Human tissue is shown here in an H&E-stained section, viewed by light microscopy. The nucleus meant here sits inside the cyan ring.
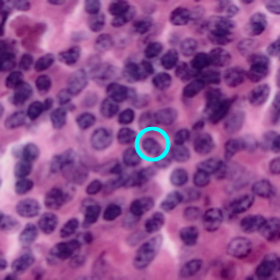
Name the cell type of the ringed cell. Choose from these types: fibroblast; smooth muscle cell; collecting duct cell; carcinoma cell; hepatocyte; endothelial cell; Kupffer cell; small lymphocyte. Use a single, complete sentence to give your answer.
The cell type of the ringed cell is that of a small lymphocyte.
